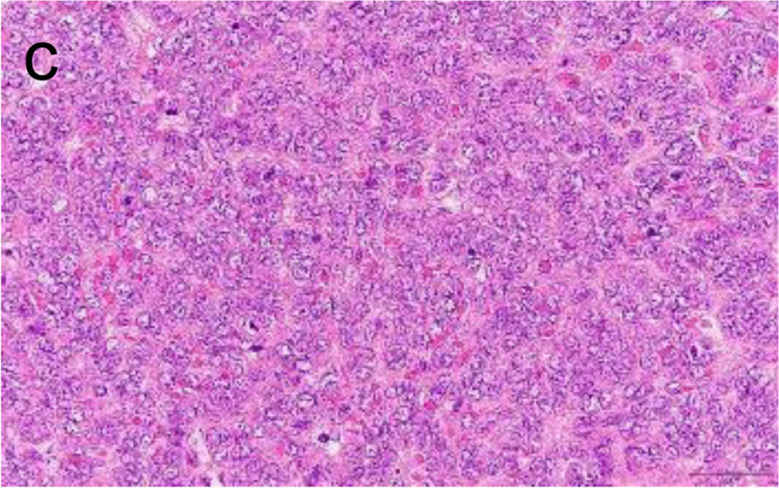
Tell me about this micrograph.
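Tumor cells form solid, crowded sheets with very little pink stroma between them. Most cells are round to oval, with large nuclei that have open chromatin and visible nucleoli, and only scant cytoplasm. Scattered cells have more deeply pink cytoplasm, and the nuclei vary in size and shape. This is a densely cellular round cell tumor with marked nuclear atypia.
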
